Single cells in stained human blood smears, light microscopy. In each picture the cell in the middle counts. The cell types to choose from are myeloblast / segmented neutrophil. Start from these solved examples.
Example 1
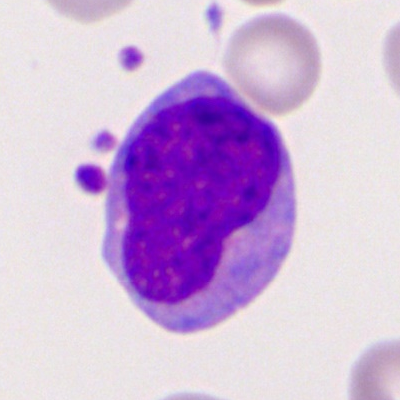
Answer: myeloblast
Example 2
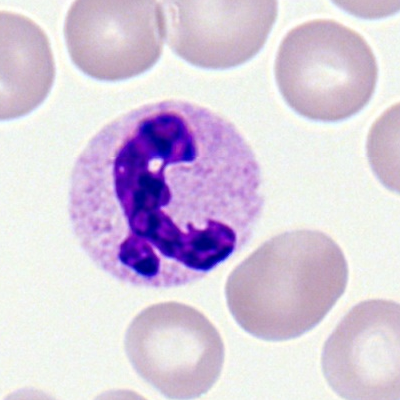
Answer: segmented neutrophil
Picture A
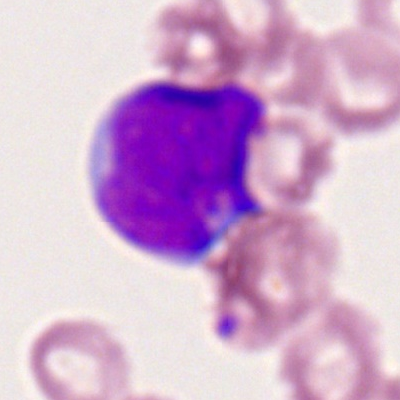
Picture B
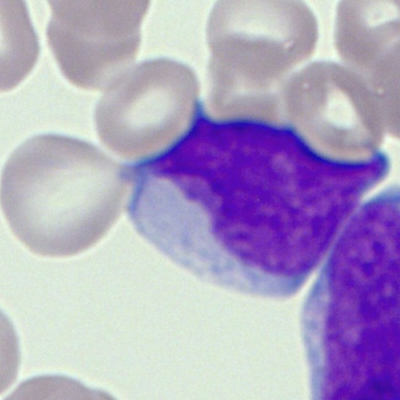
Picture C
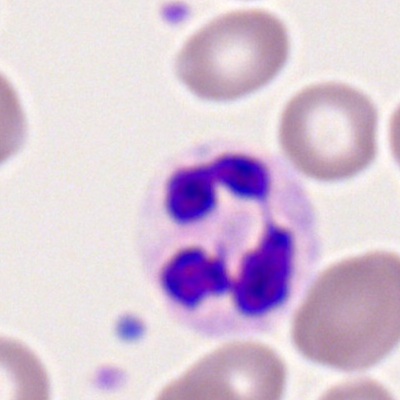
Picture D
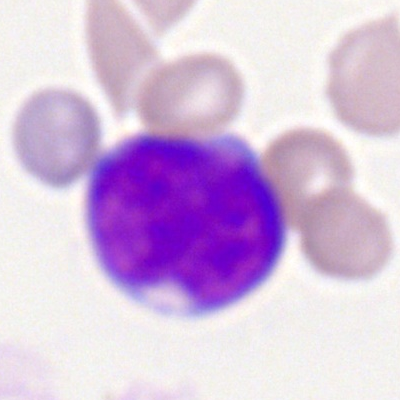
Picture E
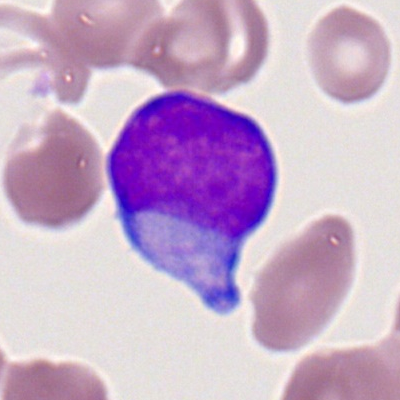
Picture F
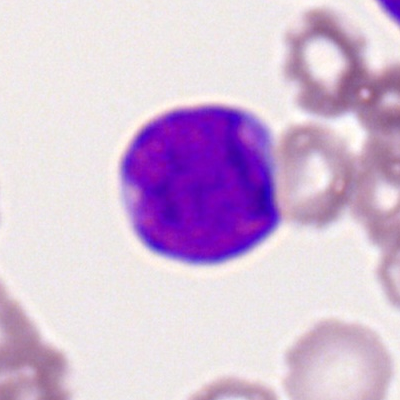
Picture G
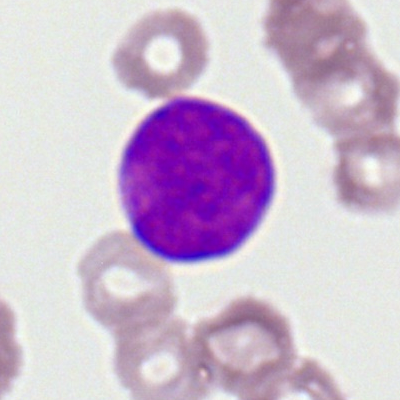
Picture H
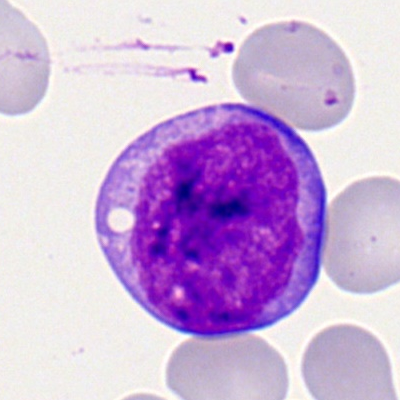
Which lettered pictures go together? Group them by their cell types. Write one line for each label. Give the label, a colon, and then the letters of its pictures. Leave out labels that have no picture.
myeloblast: A, B, D, E, F, G, H
segmented neutrophil: C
